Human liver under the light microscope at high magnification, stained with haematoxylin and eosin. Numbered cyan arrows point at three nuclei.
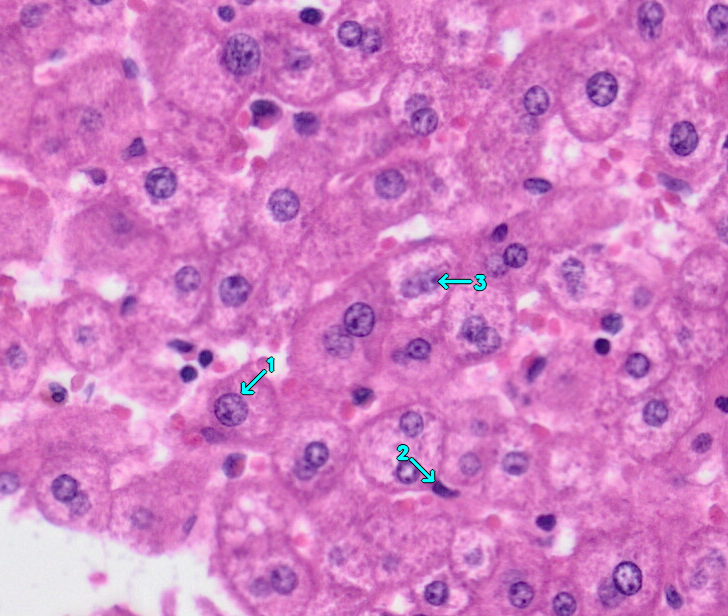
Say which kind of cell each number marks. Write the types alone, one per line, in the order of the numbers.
hepatocyte
fibroblast or stellate cell
hepatocyte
